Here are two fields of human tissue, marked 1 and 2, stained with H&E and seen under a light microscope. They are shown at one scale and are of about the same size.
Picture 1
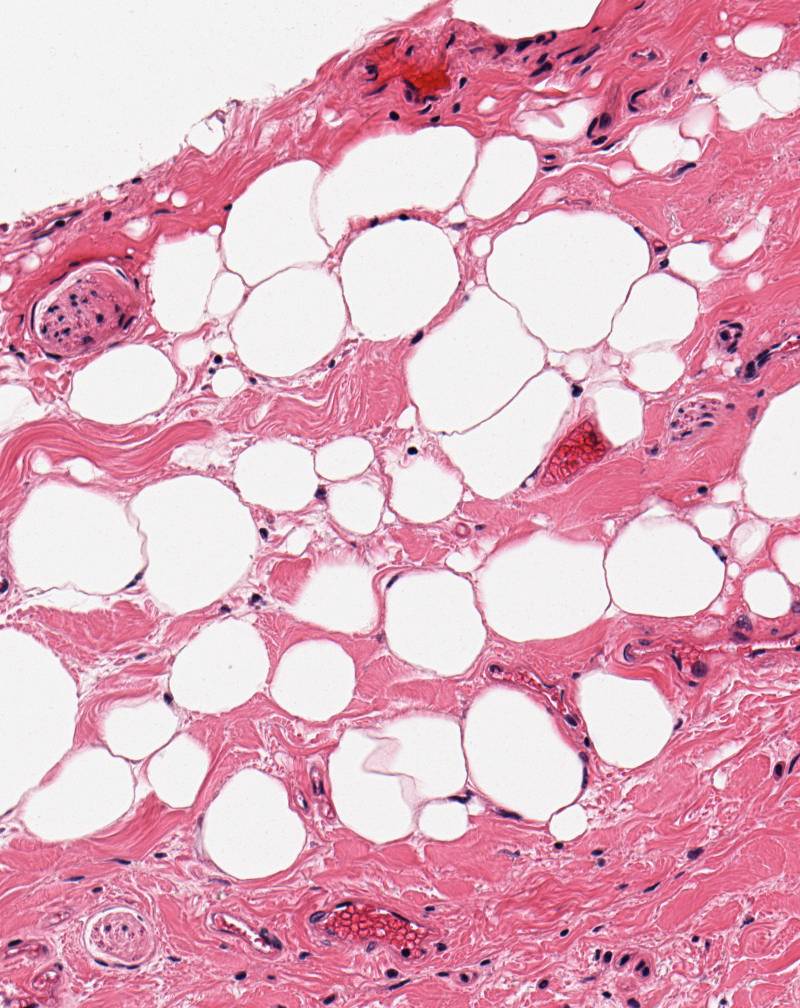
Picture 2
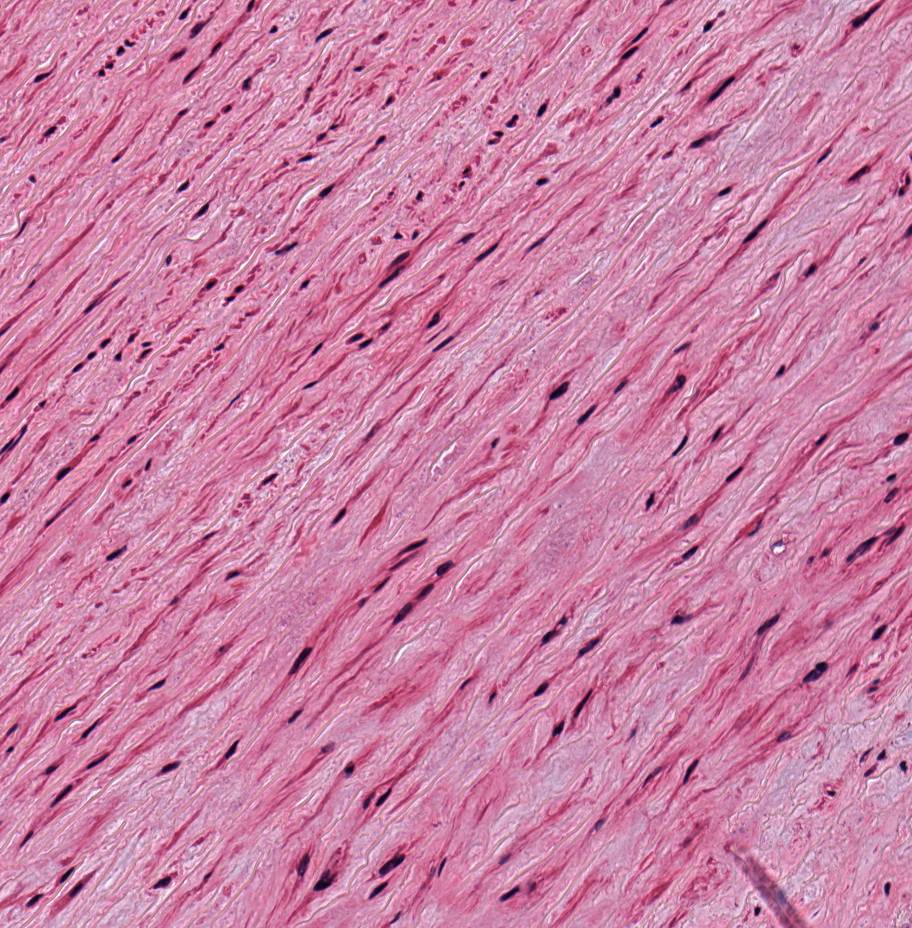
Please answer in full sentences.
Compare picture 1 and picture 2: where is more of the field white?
Picture 1 has more white space.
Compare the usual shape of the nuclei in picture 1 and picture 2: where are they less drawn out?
The nuclei are rounder in picture 1.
